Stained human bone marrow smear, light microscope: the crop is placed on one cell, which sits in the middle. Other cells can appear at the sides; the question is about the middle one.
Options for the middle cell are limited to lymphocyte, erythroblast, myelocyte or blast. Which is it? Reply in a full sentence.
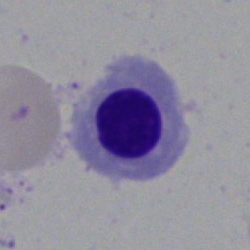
The middle cell in this particular crop is an erythroblast.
